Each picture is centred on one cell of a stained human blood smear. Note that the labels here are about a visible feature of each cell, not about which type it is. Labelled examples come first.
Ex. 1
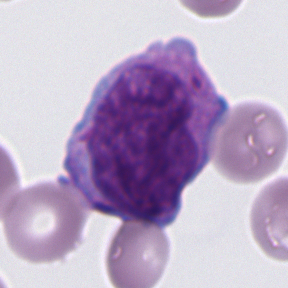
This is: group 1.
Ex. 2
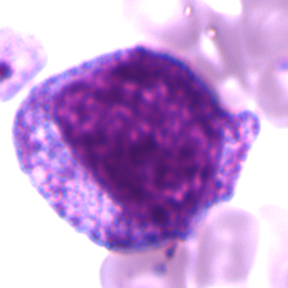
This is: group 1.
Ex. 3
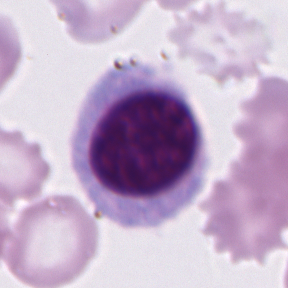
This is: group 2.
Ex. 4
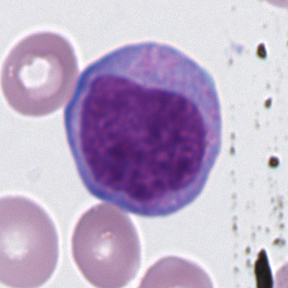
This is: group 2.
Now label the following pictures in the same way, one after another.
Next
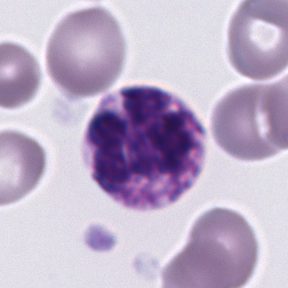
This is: group 2.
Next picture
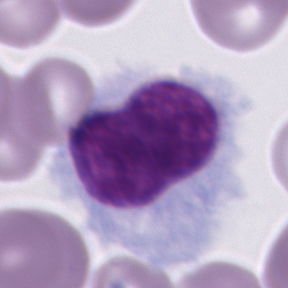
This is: group 1.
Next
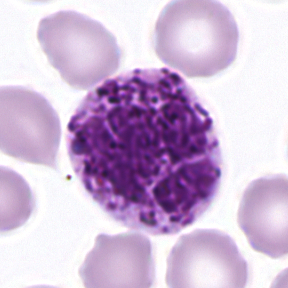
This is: group 2.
